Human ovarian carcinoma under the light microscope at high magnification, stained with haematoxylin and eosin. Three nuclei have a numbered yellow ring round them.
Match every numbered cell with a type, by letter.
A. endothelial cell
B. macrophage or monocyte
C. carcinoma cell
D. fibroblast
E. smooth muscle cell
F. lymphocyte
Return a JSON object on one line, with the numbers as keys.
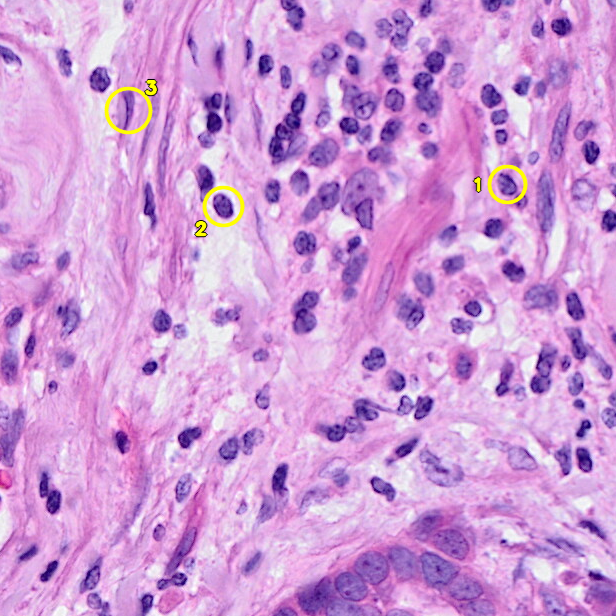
{"1": "F", "2": "F", "3": "D"}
